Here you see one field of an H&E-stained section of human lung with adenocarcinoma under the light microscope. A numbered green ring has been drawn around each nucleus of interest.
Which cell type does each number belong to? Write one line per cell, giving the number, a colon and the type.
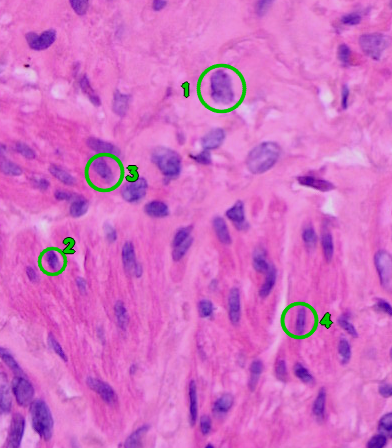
1: fibroblast
2: smooth muscle cell or pericyte
3: smooth muscle cell or pericyte
4: smooth muscle cell or pericyte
